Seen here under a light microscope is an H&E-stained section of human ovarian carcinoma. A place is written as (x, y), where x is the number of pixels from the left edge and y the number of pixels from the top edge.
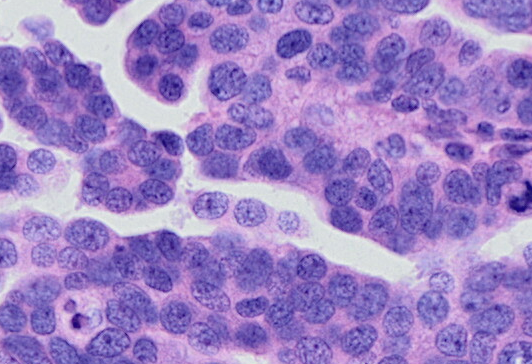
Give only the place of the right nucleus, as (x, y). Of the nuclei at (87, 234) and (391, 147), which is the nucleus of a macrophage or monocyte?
(391, 147)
